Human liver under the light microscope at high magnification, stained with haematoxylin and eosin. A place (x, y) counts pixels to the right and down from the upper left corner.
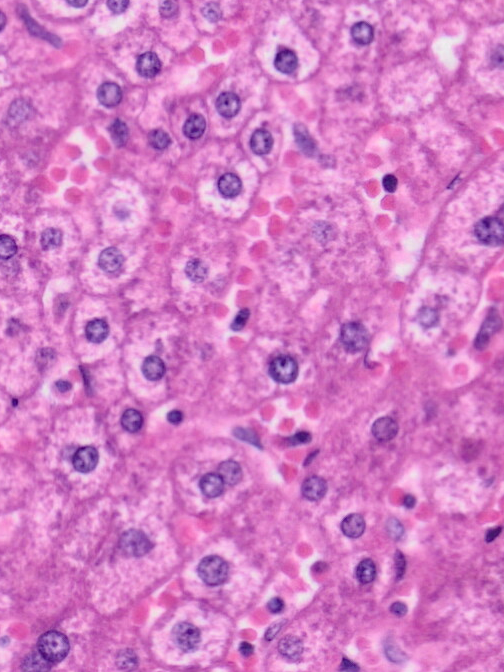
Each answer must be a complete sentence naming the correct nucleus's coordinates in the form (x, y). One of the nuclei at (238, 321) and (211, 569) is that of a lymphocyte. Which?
Of the two nuclei, the one sitting at (238, 321) belongs to a lymphocyte.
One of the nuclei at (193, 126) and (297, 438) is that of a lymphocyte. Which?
As for which of the two, the nucleus at (297, 438) belongs to a lymphocyte.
